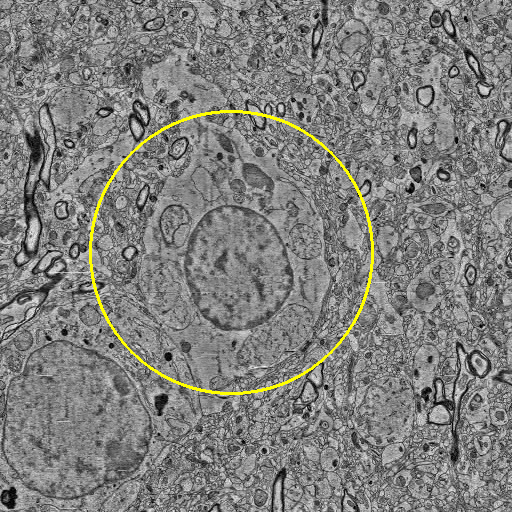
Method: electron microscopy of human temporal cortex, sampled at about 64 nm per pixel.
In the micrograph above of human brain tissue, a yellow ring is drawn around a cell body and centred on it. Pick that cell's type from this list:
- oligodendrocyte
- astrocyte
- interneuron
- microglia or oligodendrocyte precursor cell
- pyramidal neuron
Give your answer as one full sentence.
Going by the list, an astrocyte is the cell on which the yellow ring is centred.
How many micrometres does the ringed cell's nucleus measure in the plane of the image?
The nucleus has a long axis of about 8 micrometres and a short axis of about 7 micrometres in this plane.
